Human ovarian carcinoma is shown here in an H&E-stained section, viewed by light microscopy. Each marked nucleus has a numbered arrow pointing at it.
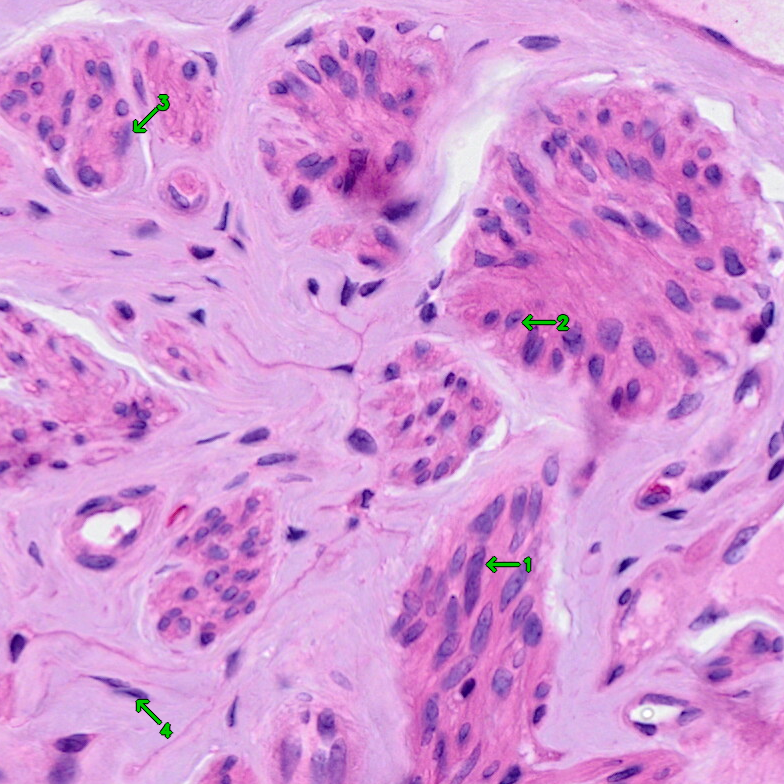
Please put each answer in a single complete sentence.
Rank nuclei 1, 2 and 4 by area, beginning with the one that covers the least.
Smallest first, the nuclei run 2, 1, 4.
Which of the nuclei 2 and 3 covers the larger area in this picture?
Number 3 is larger; its area is about 2 times that of number 2.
